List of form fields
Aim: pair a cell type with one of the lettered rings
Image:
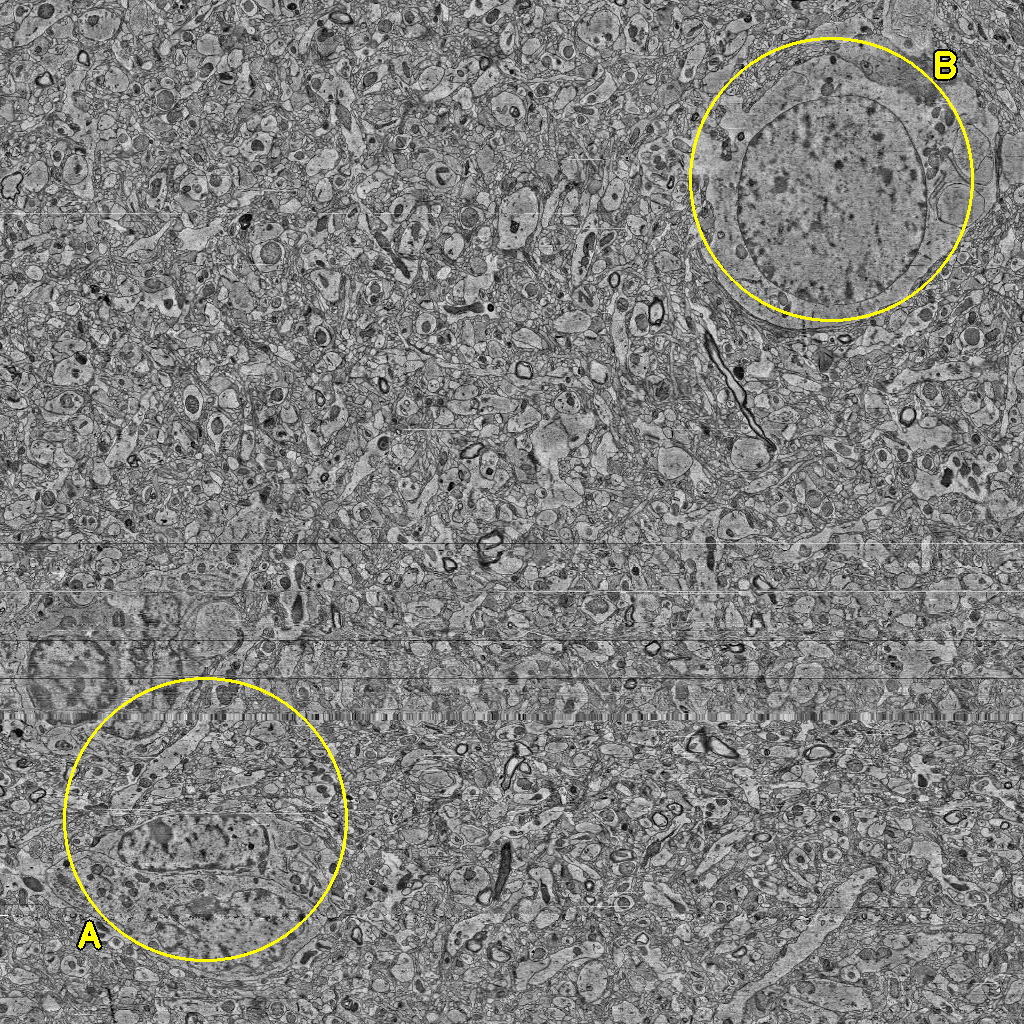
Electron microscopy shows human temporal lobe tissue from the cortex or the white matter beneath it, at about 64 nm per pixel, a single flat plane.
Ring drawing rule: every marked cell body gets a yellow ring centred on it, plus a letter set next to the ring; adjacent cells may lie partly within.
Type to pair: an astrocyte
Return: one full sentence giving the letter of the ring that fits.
Ring B is the one whose central cell body is that kind of cell.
